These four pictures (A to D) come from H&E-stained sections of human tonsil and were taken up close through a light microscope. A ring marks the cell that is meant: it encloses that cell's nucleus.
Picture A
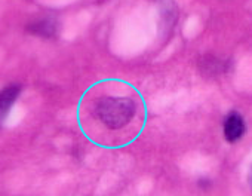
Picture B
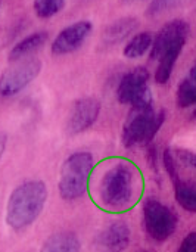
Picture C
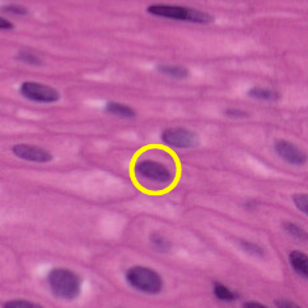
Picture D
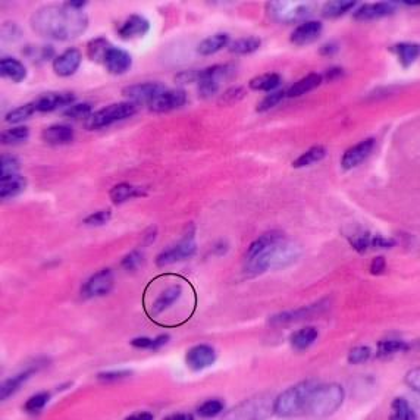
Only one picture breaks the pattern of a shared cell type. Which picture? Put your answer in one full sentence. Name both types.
The others show squamous epithelial cells, but picture D shows a mast cell.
